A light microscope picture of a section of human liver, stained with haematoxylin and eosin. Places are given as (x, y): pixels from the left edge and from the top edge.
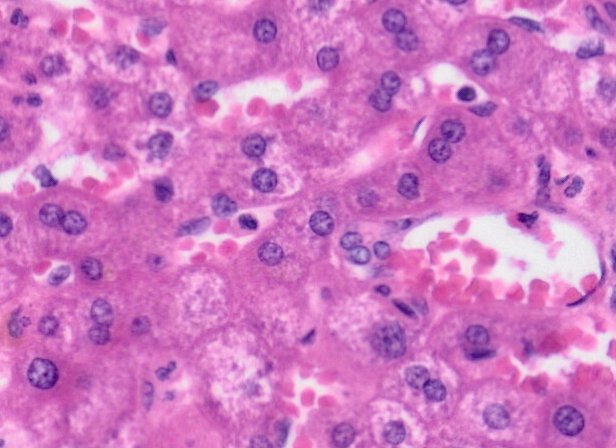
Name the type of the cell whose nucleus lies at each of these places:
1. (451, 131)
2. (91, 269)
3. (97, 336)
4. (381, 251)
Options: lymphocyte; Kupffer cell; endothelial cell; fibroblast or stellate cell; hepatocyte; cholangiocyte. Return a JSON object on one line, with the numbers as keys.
{"1": "hepatocyte", "2": "hepatocyte", "3": "hepatocyte", "4": "cholangiocyte"}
